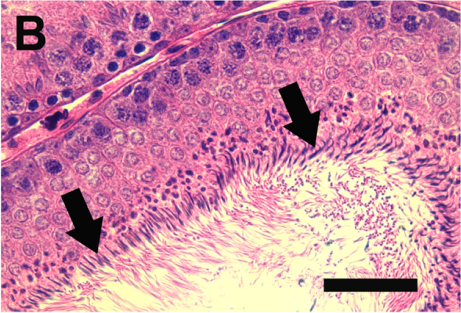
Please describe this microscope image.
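Round cells with large round nuclei fill the thick epithelium, and at the luminal edge many slender, dark, elongated sperm heads stand in rows with their thin pink tails streaming into the pale open lumen. A thin flattened wall with elongated nuclei bounds the tubule at the upper left.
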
